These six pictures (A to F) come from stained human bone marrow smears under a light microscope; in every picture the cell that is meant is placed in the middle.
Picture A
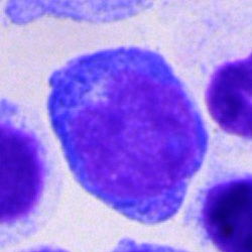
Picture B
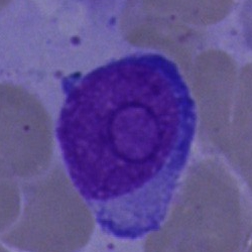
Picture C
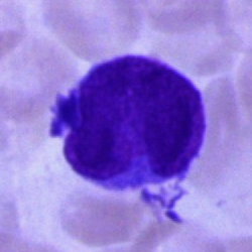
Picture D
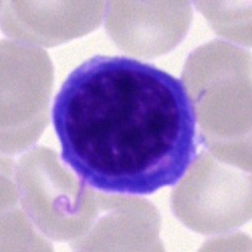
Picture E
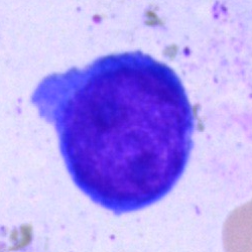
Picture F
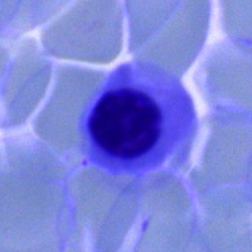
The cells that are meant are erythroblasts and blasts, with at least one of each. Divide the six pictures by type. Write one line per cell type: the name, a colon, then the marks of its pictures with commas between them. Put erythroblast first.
erythroblast: D, F
blast: A, B, C, E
